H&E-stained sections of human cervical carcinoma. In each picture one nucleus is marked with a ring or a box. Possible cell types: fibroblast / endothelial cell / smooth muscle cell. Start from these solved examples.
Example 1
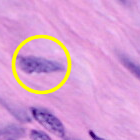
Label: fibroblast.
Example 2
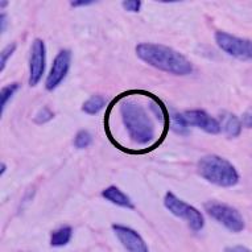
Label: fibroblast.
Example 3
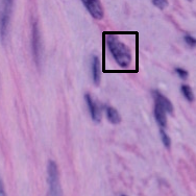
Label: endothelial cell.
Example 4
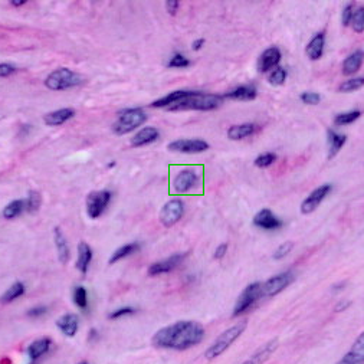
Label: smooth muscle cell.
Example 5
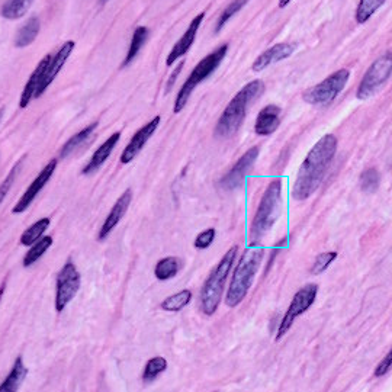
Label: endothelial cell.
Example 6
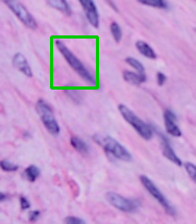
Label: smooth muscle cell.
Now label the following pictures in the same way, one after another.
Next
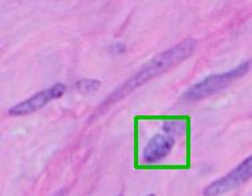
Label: fibroblast.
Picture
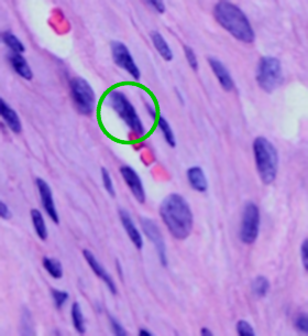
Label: endothelial cell.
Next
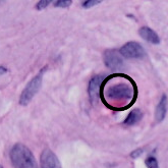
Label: endothelial cell.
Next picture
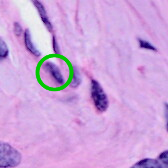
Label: endothelial cell.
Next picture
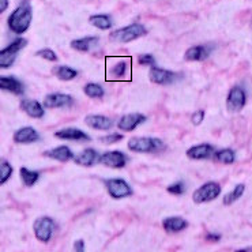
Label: smooth muscle cell.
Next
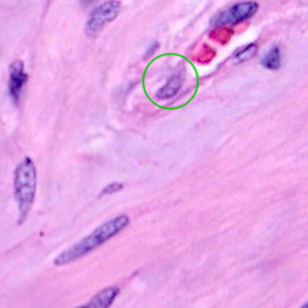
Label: endothelial cell.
